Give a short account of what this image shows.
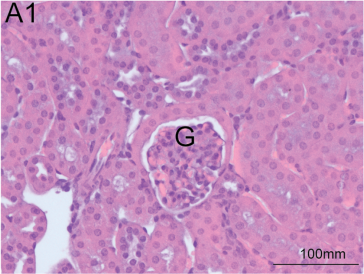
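Renal cortex with a glomerulus in the centre surrounded by tubules. The glomerular tuft of capillary loops with dark nuclei sits within a thin capsule and a clear space, while the surrounding tubules are lined by cuboidal cells with pink granular cytoplasm and round dark nuclei around narrow lumens.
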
